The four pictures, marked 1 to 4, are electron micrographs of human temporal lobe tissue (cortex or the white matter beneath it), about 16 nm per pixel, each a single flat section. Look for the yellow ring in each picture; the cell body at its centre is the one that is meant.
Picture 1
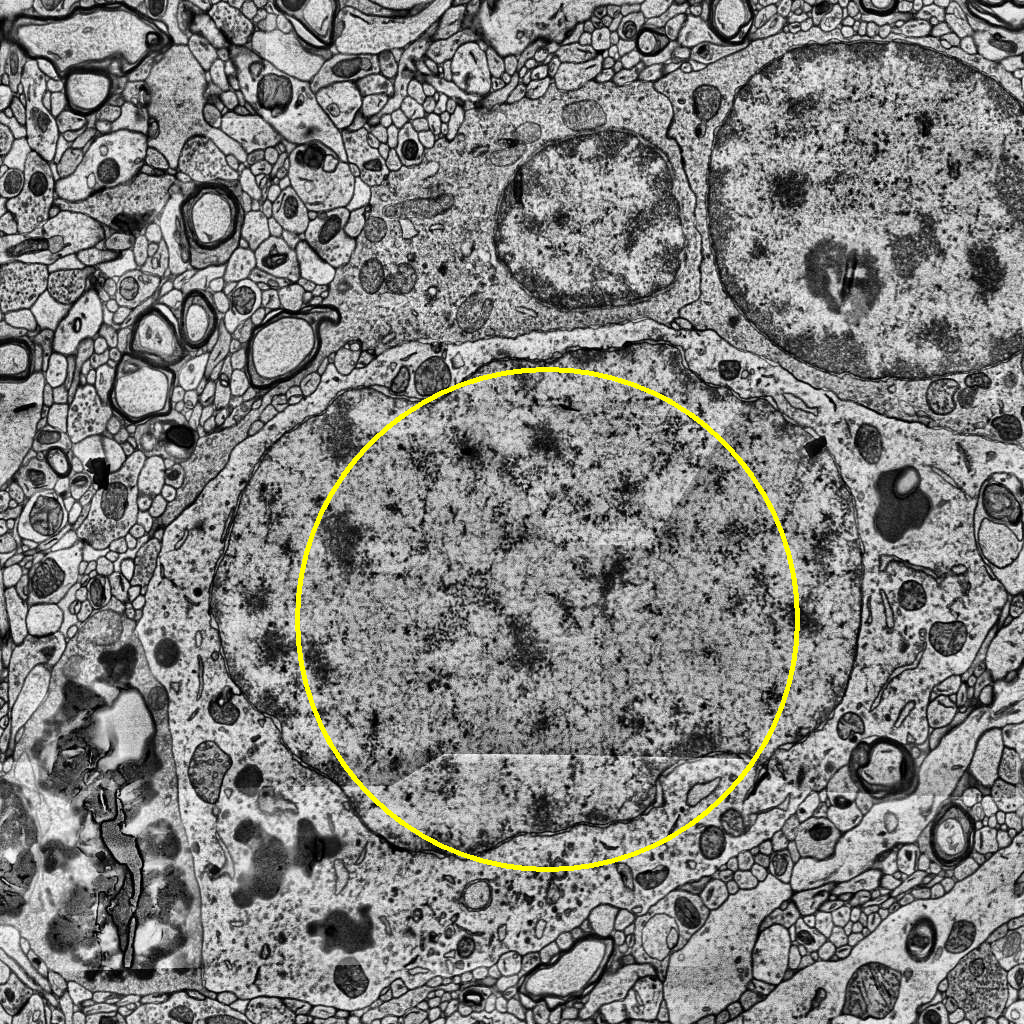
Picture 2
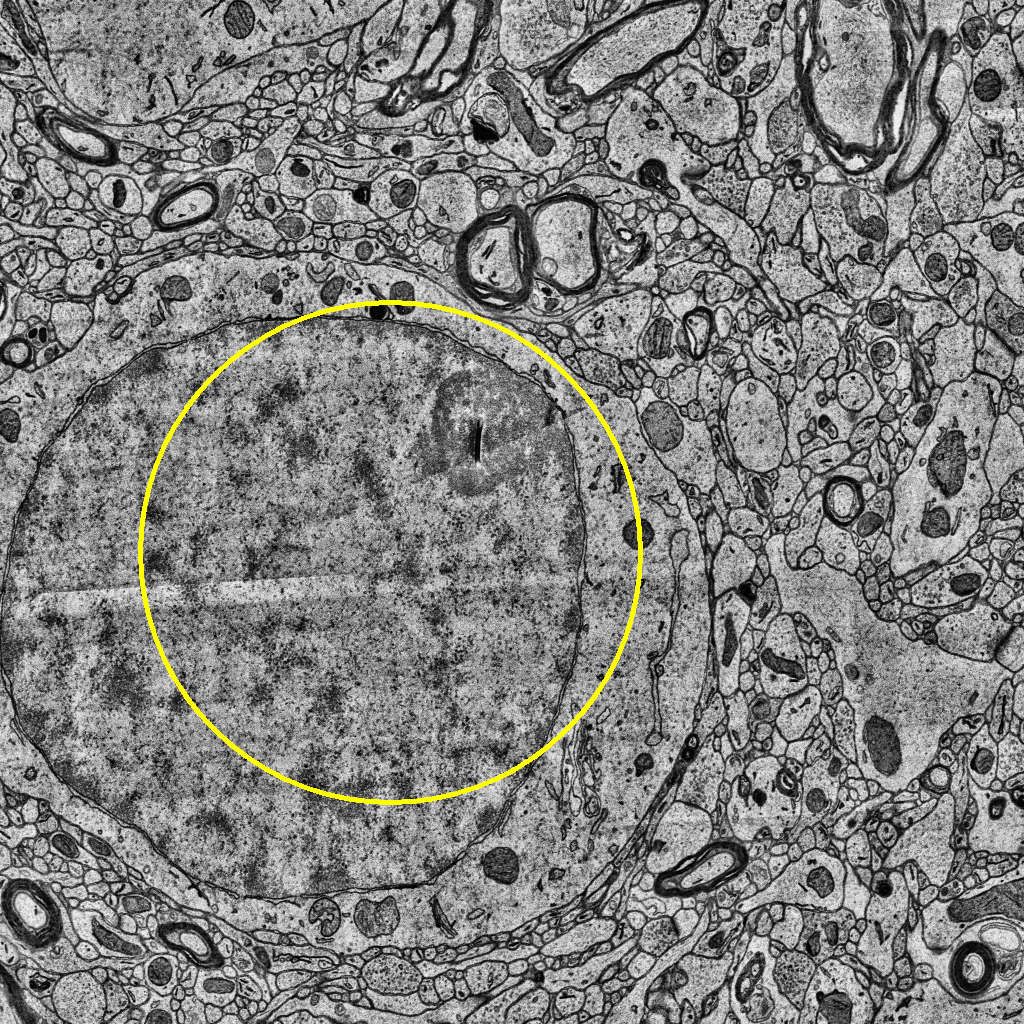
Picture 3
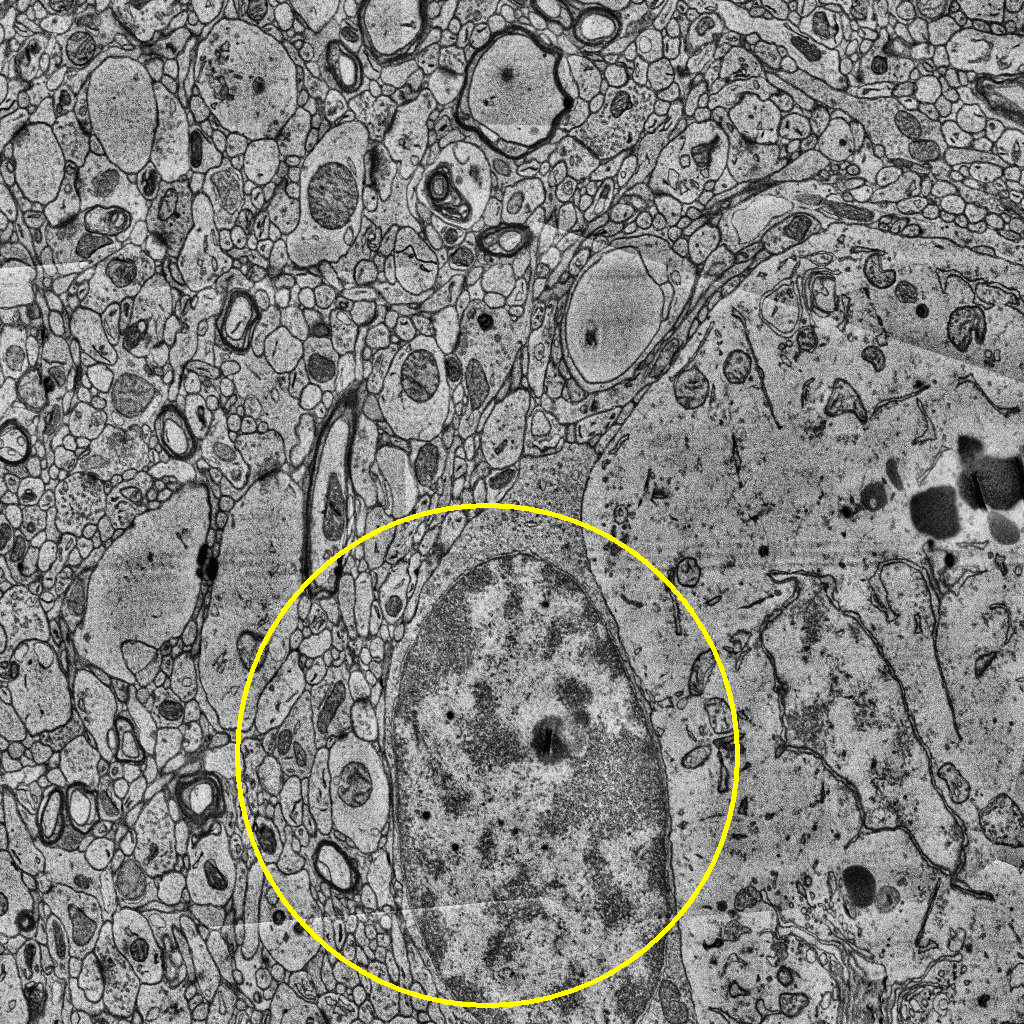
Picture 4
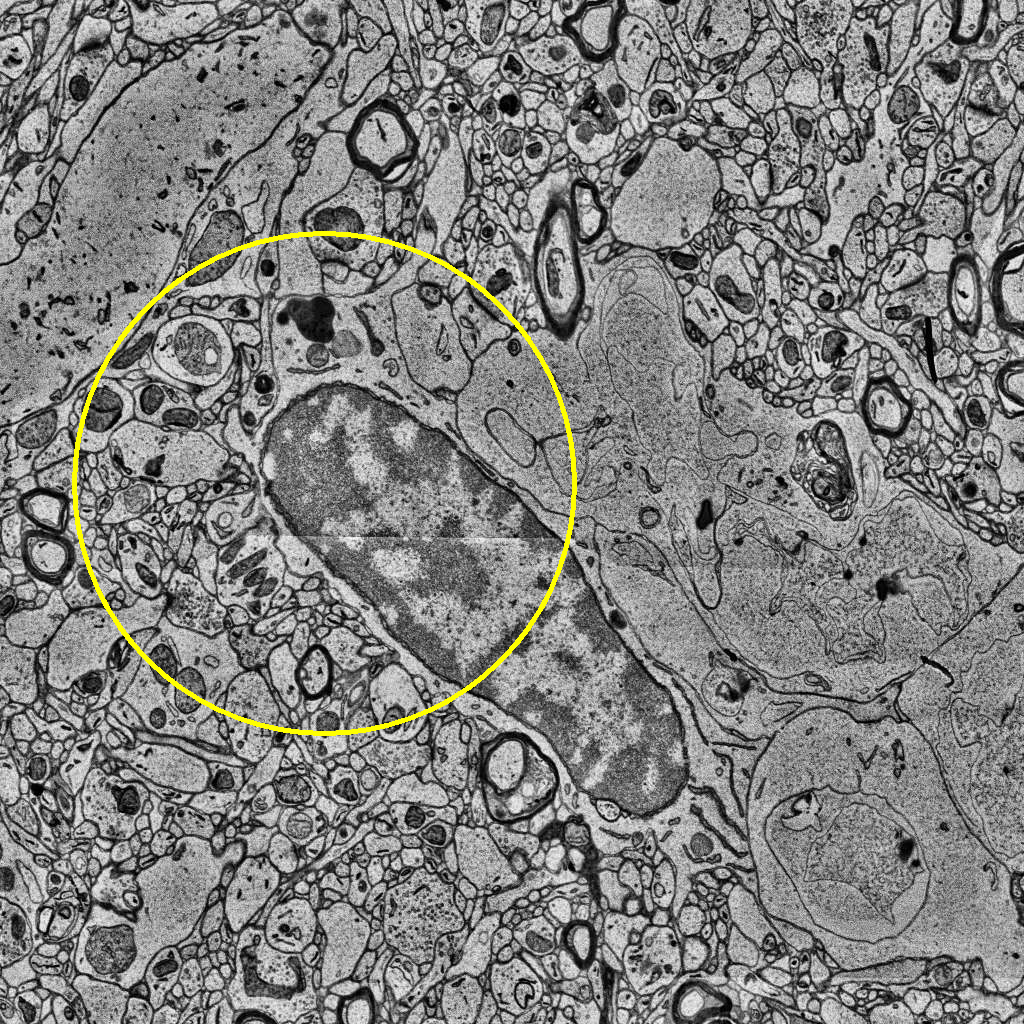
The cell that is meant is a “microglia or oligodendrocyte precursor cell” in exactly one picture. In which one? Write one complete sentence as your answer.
The “microglia or oligodendrocyte precursor cell” is the one in picture 4.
